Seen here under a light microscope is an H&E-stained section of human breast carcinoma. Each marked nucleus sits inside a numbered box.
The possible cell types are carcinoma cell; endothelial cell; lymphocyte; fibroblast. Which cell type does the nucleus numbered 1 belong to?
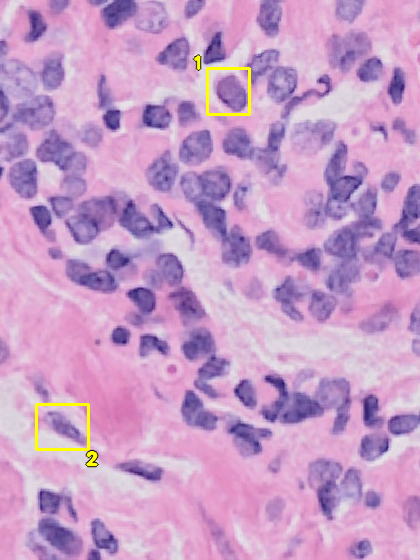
carcinoma cell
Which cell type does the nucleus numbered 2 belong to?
fibroblast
